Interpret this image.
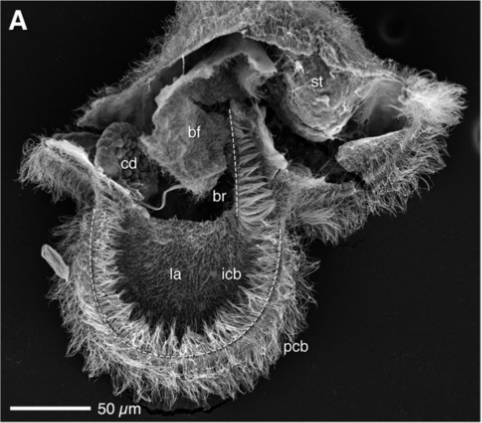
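This scanning electron micrograph shows a fractured pilidium larva, opened to expose the inner surface of one lappet and the buccal funnel. A thick fringe of long cilia runs in a curve along the free margin of the lappet, and just inside it lies a second band of cilia lying flat against the surface. The inner face of the lappet is covered by a dense mat of short cilia. Toward the top, a ridged band of cilia runs up beside the buccal funnel toward the stomach, and a small rounded cephalic disc sits beside the funnel.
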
